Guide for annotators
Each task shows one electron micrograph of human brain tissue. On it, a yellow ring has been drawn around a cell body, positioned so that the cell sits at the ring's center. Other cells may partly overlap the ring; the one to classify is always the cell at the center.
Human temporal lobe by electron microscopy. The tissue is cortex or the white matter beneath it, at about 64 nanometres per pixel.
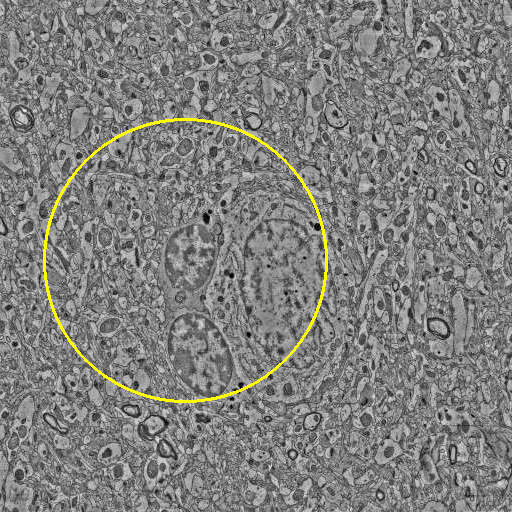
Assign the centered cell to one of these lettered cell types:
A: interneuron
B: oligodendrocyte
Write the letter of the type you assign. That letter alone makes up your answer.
B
